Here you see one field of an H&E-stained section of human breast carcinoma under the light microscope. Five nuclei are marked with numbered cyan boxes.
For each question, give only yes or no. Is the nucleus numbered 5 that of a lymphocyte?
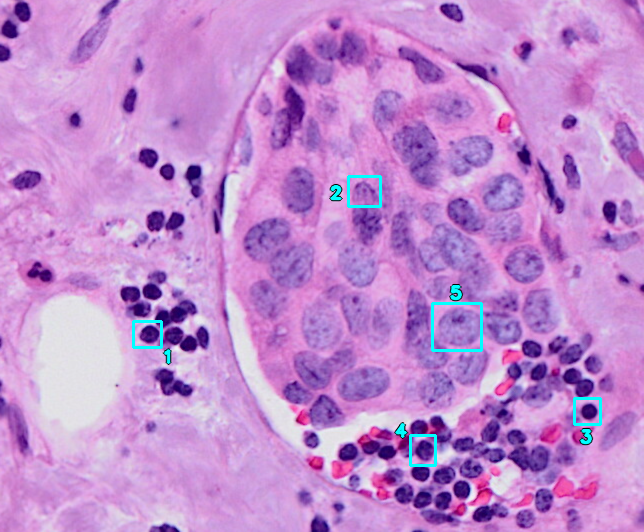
no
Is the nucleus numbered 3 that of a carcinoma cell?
no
